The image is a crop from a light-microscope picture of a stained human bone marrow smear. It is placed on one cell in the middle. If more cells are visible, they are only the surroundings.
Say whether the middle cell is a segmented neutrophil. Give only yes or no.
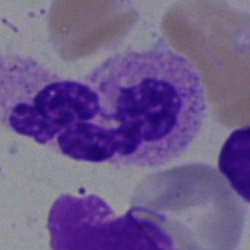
yes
